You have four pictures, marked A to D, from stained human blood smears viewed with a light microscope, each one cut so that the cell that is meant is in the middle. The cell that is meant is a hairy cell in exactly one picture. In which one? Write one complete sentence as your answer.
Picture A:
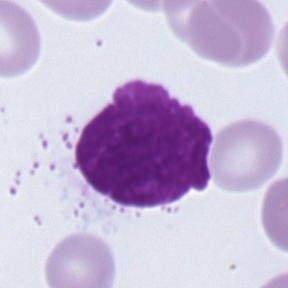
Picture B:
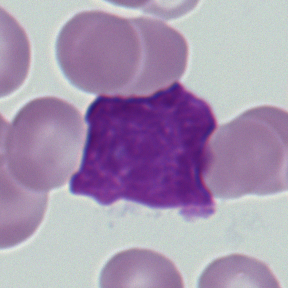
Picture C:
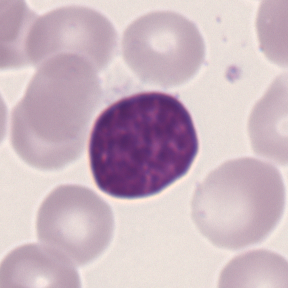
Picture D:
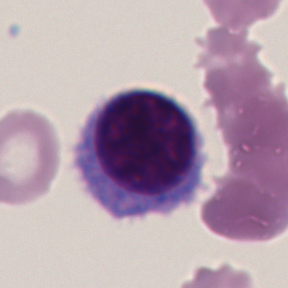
It is picture D that shows the hairy cell.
